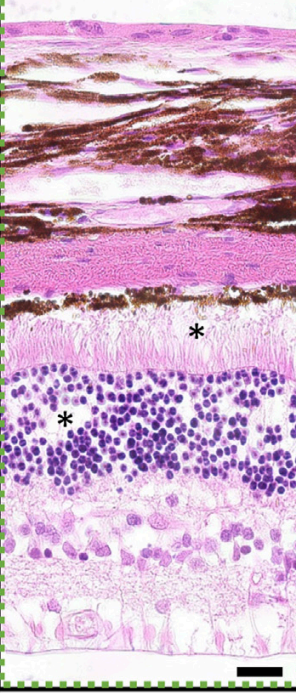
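This is a full-thickness section of retina with the layers behind it, seen at high magnification. At the top a thin pink band of fibrous tissue covers the choroid, which is loose and crowded with dark brown pigmented cells and thin-walled spaces. Beneath lies a thick, evenly pink cellular band, and then a row of retinal pigment epithelium packed with dark brown granules. Below that the pale, finely striated photoreceptor outer segments lead into a thick outer nuclear layer of small, densely packed, dark purple round nuclei. Further inward a thin pale plexiform band separates it from an inner nuclear layer of larger, looser nuclei, then another pale fibrillar layer and sparse ganglion cells at the inner surface.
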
